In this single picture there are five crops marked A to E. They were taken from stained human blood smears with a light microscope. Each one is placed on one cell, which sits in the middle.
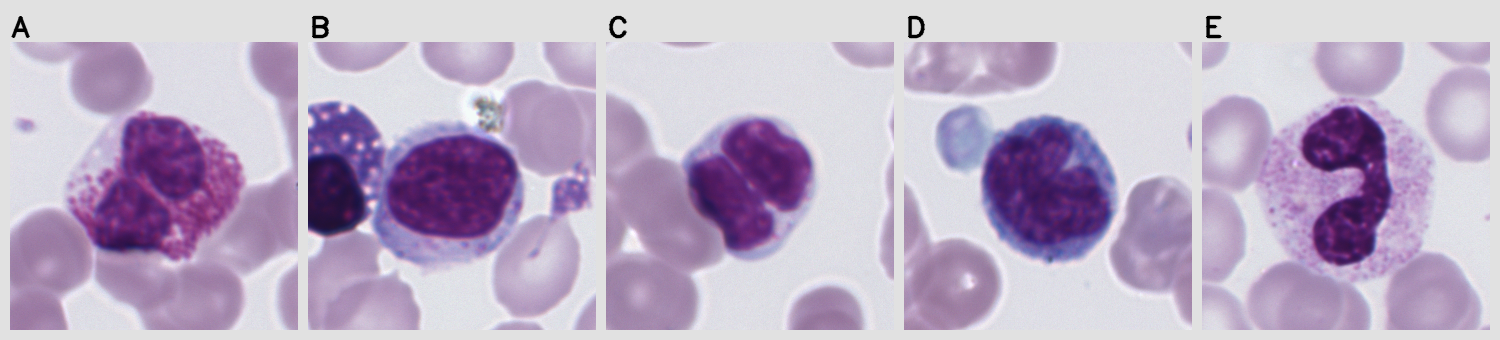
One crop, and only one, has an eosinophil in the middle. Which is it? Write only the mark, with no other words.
A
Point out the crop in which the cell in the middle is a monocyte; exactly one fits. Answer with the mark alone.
D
